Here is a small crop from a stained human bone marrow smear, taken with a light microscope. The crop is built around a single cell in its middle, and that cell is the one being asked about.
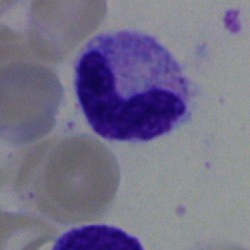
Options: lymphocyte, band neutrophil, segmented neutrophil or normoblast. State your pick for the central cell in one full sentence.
The central cell in this smear crop is a band neutrophil.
